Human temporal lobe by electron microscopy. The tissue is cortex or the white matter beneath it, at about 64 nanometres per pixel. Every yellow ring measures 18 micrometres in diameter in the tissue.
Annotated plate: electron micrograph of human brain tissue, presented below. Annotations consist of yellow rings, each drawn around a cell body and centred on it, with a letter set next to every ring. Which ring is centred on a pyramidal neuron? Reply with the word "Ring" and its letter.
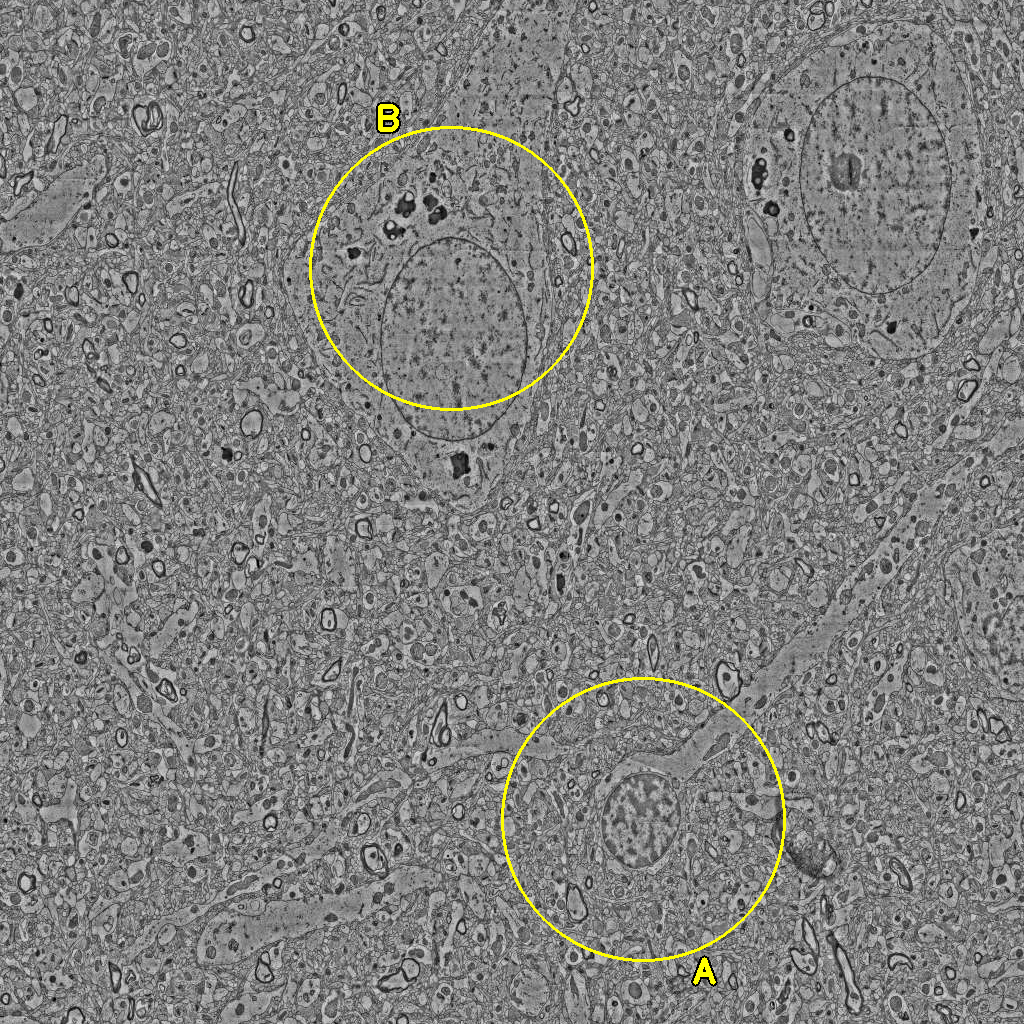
Ring B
